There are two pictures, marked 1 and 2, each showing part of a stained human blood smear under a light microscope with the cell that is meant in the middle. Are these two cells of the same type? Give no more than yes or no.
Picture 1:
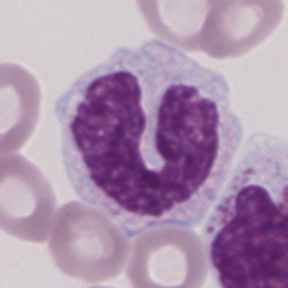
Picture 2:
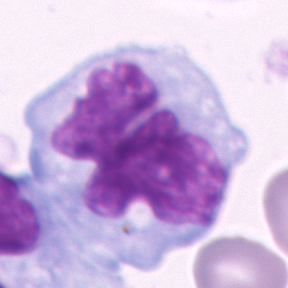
yes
